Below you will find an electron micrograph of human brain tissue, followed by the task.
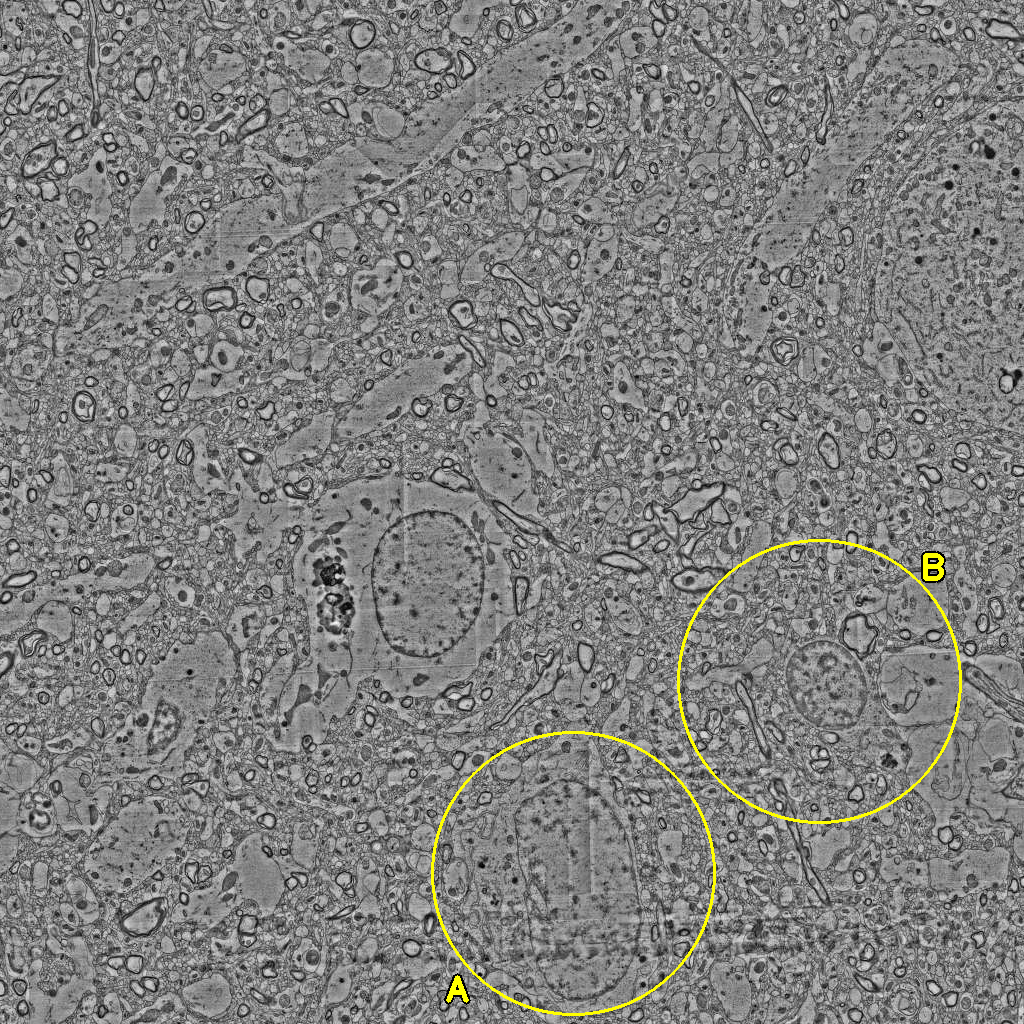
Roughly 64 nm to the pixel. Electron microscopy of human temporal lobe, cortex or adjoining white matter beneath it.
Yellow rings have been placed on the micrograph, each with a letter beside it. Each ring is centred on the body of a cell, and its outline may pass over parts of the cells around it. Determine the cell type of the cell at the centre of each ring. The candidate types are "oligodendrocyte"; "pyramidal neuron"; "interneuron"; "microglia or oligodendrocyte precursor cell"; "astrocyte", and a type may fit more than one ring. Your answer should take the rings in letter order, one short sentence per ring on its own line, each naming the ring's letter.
The centre of ring A falls on an interneuron.
The centre of ring B falls on an oligodendrocyte.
